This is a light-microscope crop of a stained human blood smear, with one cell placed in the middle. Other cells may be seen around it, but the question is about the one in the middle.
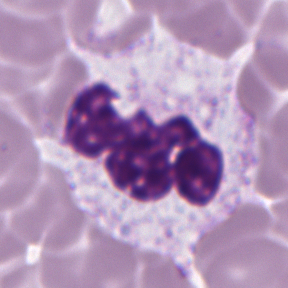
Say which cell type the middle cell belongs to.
neutrophil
